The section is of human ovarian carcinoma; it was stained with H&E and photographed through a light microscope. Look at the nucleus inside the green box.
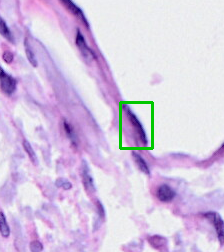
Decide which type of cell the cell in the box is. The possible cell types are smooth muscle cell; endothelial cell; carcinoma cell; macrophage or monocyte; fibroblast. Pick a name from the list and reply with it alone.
endothelial cell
